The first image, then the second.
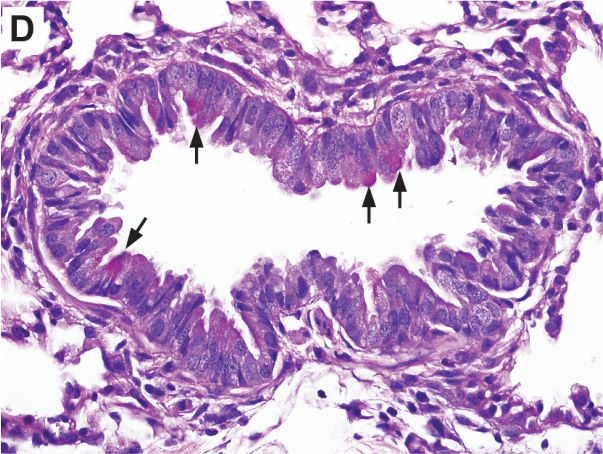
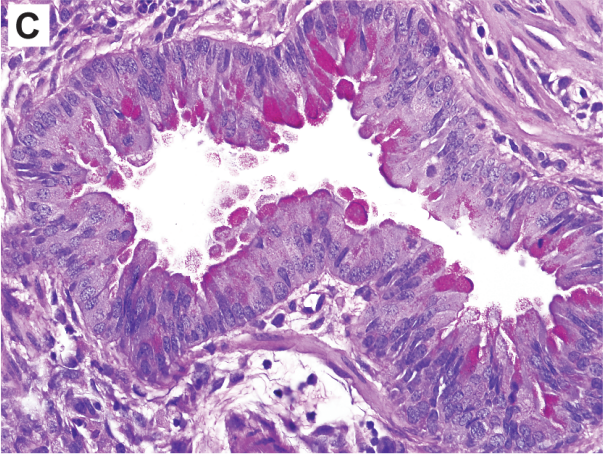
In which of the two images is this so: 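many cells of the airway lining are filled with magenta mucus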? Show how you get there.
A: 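The second image. First image: only a few epithelial cells show small magenta apical deposits. Second image: large magenta mucus masses fill many epithelial cells and spill into the lumen.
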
